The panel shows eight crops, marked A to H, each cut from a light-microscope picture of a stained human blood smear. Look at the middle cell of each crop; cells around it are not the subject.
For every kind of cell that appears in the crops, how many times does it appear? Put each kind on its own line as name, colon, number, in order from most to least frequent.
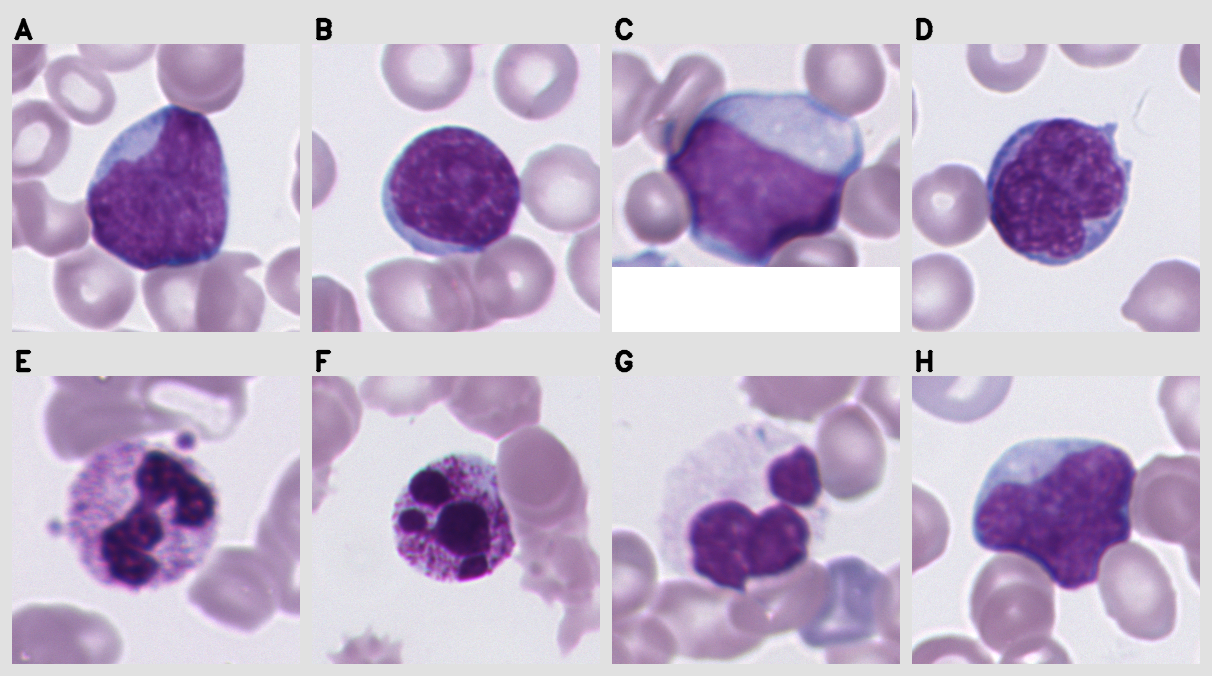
myeloblast: 5
segmented neutrophil: 3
